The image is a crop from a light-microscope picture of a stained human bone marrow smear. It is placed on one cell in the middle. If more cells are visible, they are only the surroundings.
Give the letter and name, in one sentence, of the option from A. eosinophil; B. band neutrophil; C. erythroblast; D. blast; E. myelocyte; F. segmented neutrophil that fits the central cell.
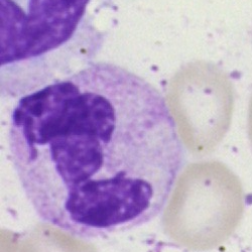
Option F is correct; the cell in the middle is a segmented neutrophil.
